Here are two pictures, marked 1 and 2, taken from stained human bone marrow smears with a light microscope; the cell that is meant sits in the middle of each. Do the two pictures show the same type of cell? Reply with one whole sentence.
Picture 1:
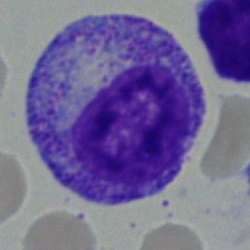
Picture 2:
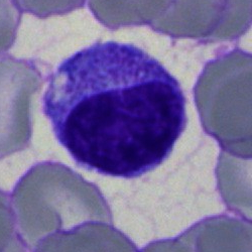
Yes, they are the same type: both are myelocytes.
